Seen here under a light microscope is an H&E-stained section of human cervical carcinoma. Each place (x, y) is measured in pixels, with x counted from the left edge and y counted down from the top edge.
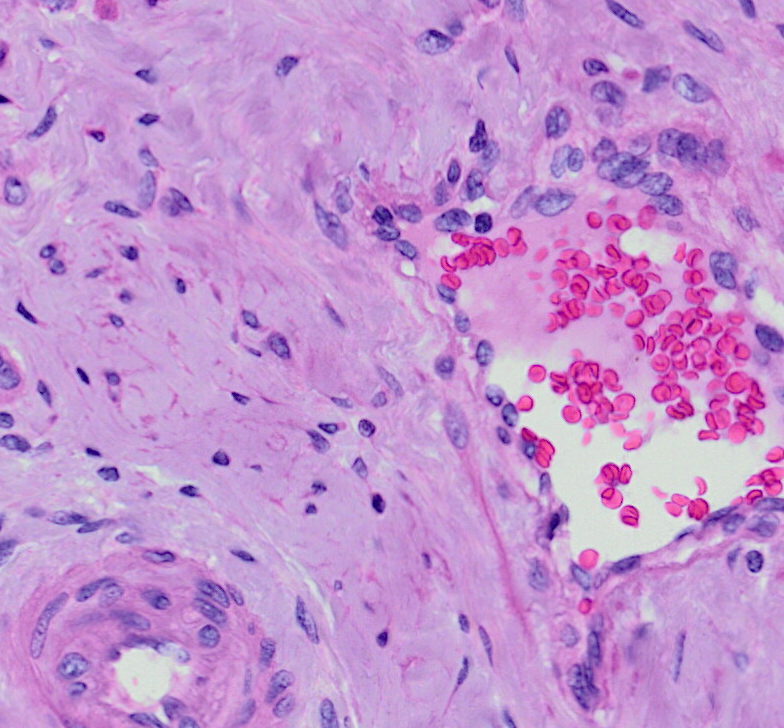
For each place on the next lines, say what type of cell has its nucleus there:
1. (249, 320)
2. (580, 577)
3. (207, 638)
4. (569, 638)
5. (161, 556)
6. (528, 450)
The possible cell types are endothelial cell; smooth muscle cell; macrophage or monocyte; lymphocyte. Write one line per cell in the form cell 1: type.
cell 1: smooth muscle cell
cell 2: endothelial cell
cell 3: smooth muscle cell
cell 4: endothelial cell
cell 5: smooth muscle cell
cell 6: endothelial cell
